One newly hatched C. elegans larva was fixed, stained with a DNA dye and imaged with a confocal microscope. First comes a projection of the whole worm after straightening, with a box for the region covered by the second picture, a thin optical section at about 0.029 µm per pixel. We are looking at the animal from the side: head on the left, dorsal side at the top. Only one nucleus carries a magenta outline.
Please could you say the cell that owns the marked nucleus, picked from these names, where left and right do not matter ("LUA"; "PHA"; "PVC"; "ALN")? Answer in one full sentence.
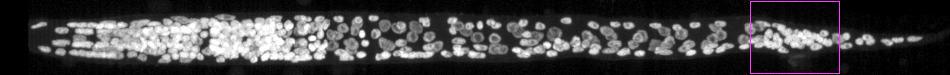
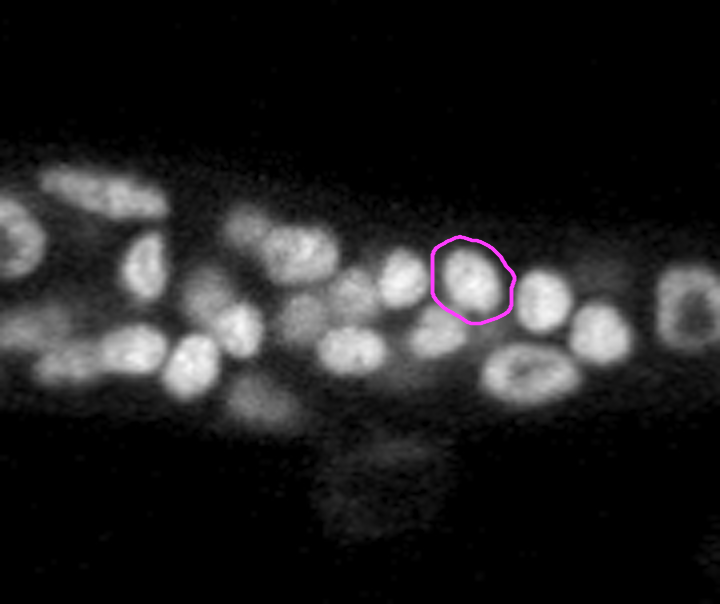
The nucleus is from ALN, a neuron.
